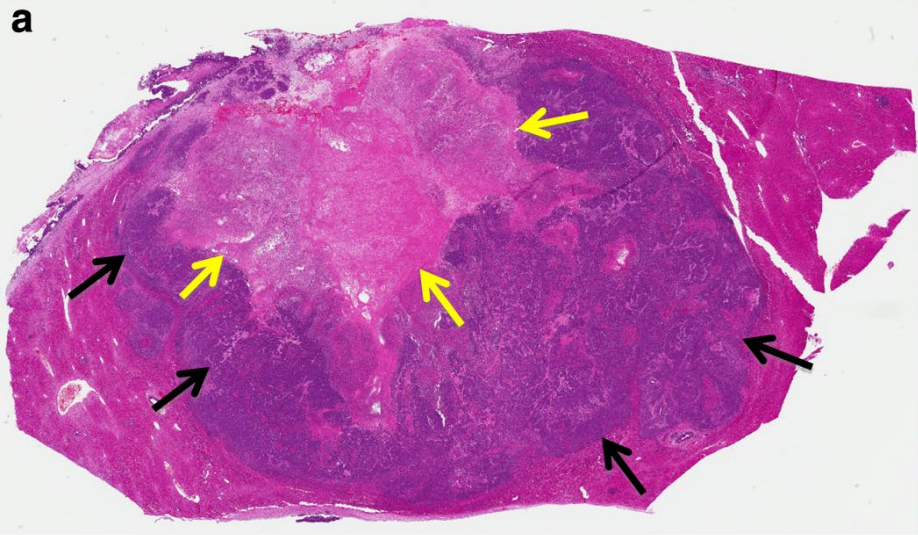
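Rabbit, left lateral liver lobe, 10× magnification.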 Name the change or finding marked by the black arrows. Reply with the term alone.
Tumor.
